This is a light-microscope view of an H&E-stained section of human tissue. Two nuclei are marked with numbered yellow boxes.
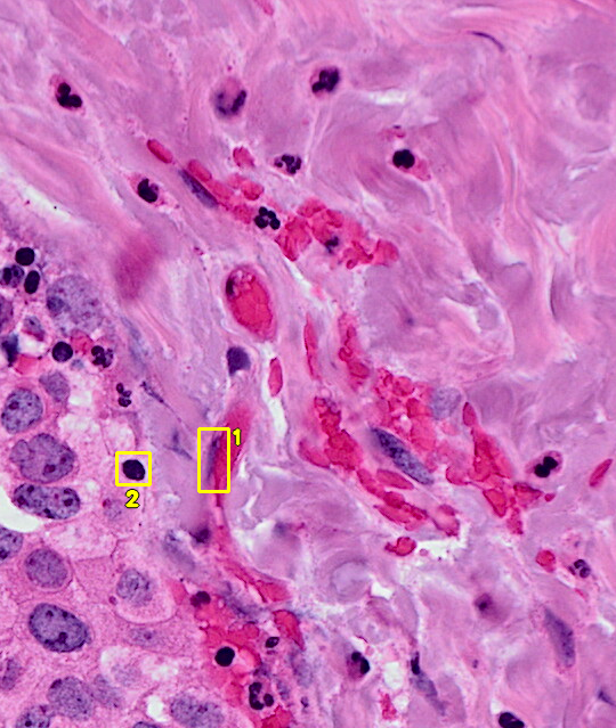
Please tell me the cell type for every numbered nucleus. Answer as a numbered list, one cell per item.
1. endothelial cell
2. lymphocyte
